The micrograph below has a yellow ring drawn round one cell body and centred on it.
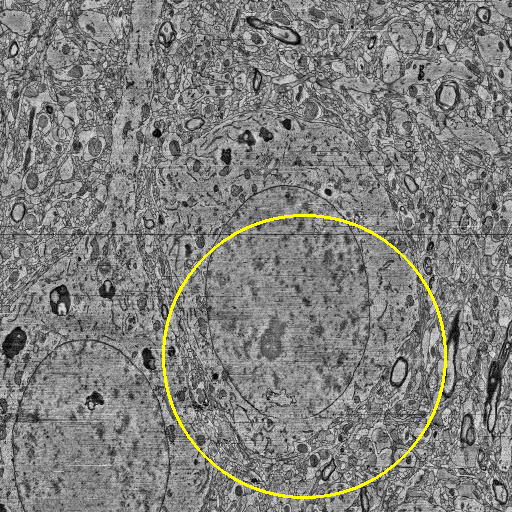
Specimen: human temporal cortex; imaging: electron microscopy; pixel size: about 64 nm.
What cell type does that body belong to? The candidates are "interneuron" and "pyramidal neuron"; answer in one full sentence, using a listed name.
This is a pyramidal neuron, the cell whose body lies at the centre of the ring.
